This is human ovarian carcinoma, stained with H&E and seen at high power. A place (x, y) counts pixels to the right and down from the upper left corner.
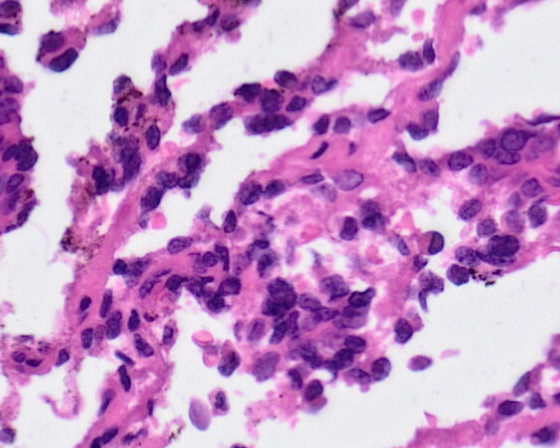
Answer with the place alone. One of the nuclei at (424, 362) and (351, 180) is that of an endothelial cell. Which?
(351, 180)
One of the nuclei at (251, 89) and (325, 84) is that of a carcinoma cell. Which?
(251, 89)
